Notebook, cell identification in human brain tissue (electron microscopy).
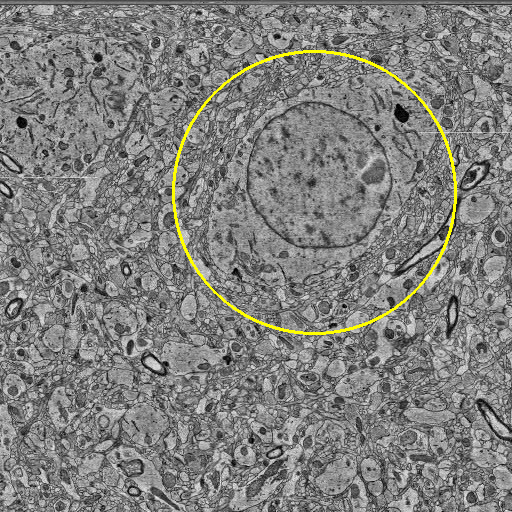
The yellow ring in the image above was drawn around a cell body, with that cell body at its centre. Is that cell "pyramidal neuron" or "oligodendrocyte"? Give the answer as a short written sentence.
The cell in the ring is a pyramidal neuron.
